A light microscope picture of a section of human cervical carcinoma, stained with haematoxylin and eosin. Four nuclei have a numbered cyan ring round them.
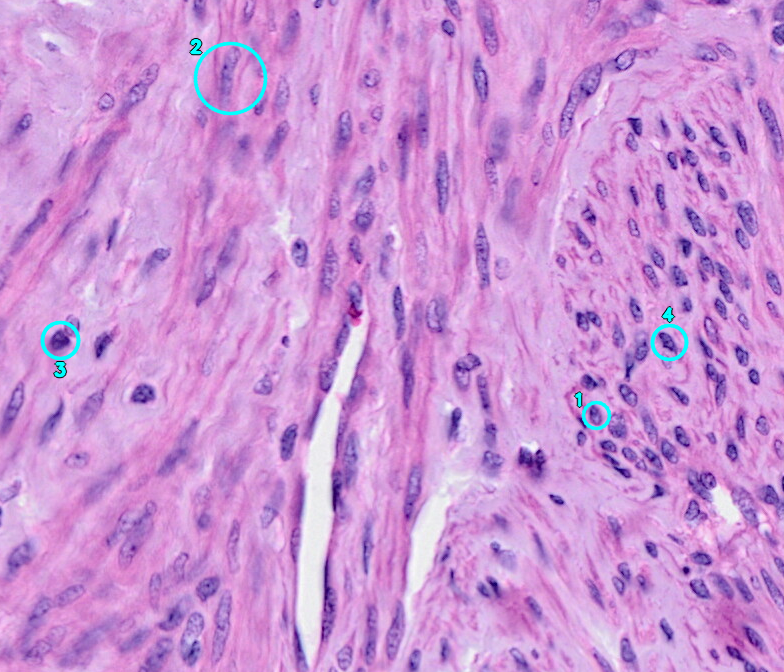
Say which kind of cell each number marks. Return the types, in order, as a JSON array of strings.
["smooth muscle cell", "smooth muscle cell", "lymphocyte", "smooth muscle cell"]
